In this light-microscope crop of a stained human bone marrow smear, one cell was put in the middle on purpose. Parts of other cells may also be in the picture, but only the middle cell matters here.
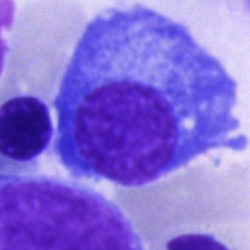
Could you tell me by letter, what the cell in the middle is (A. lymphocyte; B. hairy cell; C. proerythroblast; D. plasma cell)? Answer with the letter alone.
D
